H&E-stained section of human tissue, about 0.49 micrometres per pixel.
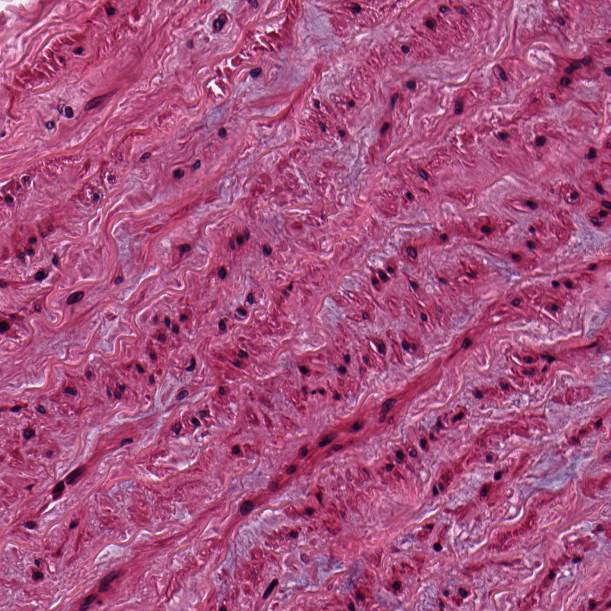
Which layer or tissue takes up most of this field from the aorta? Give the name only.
tunica media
